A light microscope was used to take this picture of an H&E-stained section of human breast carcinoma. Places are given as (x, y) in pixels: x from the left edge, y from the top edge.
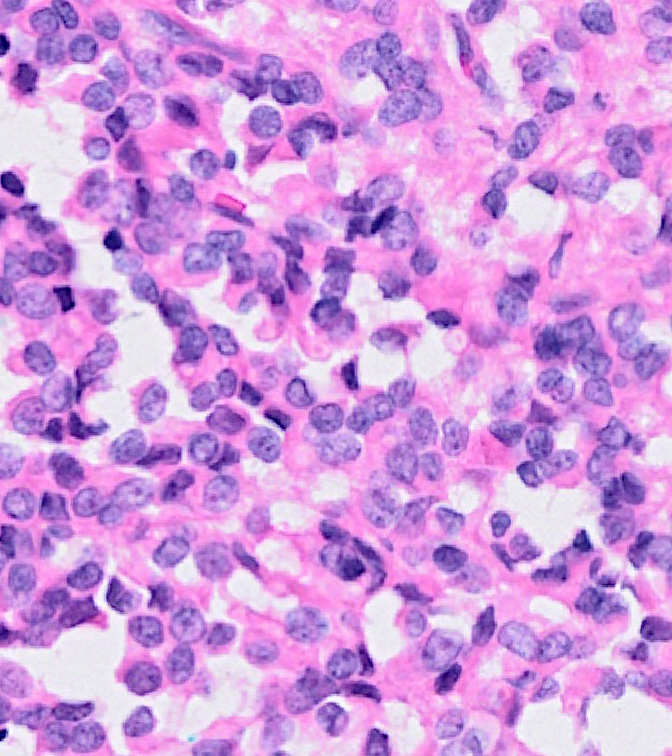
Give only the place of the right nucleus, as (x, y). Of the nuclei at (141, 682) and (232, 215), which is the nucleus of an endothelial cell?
(232, 215)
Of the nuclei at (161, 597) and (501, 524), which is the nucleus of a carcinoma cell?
(161, 597)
